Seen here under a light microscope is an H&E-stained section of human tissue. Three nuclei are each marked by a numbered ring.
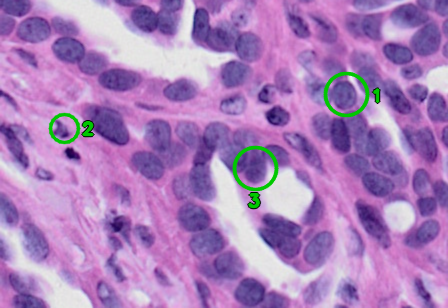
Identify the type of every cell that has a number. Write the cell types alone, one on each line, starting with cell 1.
carcinoma cell
fibroblast
carcinoma cell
